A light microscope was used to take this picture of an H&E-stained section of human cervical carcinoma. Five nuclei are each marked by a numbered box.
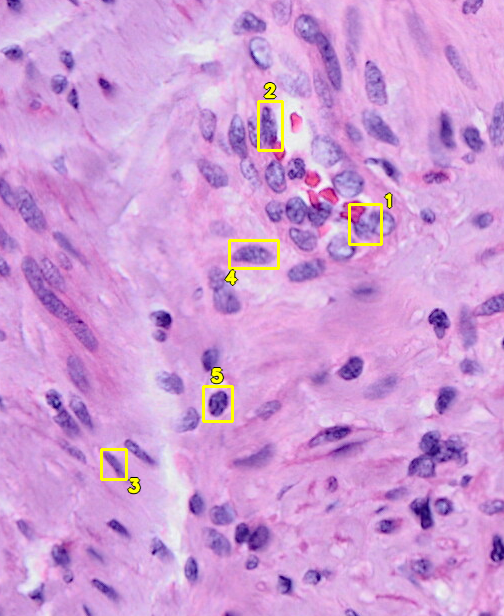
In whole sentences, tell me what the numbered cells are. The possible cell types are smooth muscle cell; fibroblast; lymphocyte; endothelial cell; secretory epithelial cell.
Cell 1 is an endothelial cell, cell 2 is an endothelial cell, cell 3 is a fibroblast, cell 4 is a smooth muscle cell and cell 5 is a lymphocyte.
